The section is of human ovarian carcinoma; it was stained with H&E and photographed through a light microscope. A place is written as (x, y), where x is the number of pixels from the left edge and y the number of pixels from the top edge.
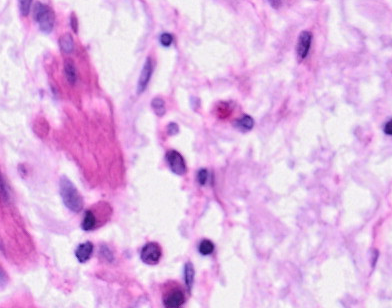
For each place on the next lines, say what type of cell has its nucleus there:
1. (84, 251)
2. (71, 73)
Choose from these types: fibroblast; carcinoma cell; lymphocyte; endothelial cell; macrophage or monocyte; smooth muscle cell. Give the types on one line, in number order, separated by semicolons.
lymphocyte; smooth muscle cell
